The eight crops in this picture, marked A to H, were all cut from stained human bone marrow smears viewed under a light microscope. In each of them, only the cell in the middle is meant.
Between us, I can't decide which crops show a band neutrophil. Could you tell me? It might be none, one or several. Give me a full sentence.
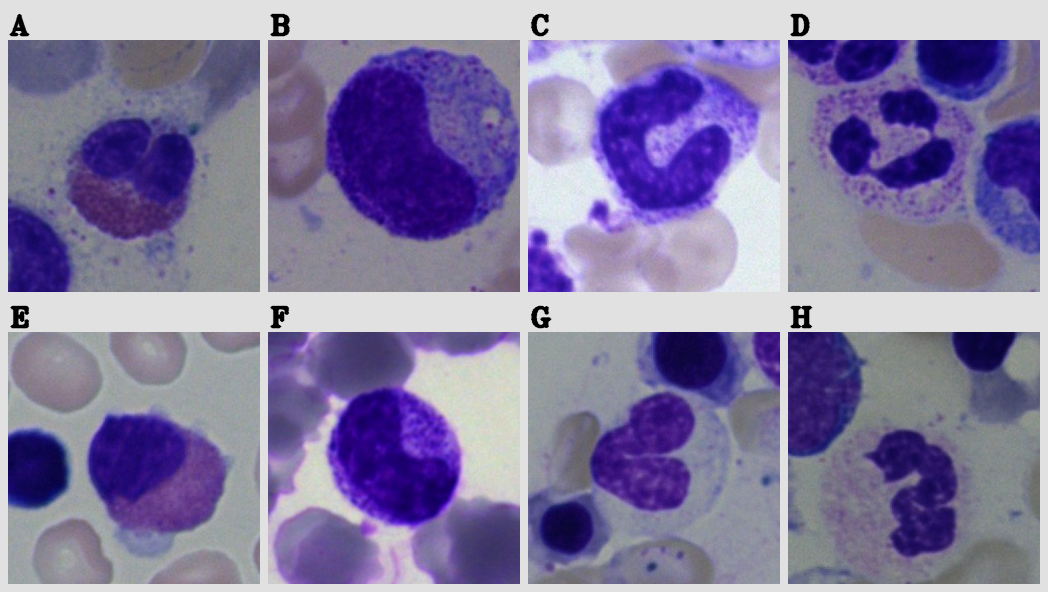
It is crops C and G that show band neutrophils.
